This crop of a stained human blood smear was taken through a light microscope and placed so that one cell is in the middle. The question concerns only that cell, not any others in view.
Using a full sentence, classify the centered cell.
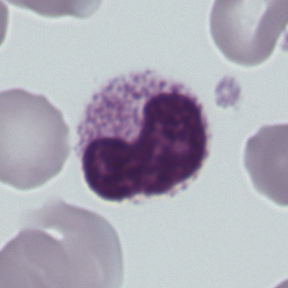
In the center of this field lies a band neutrophil.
